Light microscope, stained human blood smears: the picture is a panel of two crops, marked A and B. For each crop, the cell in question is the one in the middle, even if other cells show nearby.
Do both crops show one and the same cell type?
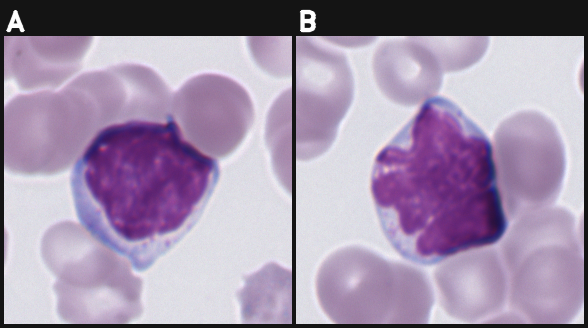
yes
